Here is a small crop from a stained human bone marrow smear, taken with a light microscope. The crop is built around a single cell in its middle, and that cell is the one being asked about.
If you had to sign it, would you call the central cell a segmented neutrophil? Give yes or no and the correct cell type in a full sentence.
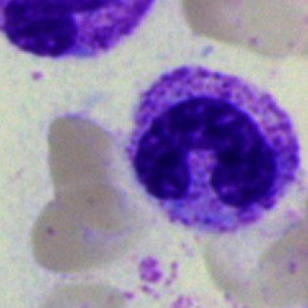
No, the central cell isn't a segmented neutrophil, but a band neutrophil.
